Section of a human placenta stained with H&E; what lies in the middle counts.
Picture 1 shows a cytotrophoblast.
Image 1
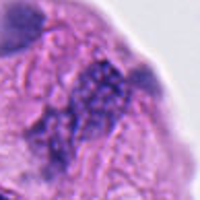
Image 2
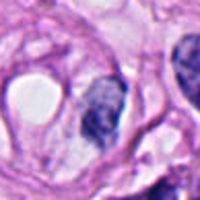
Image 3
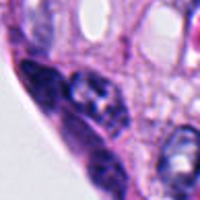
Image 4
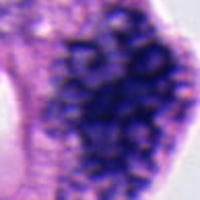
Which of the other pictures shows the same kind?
Picture 3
